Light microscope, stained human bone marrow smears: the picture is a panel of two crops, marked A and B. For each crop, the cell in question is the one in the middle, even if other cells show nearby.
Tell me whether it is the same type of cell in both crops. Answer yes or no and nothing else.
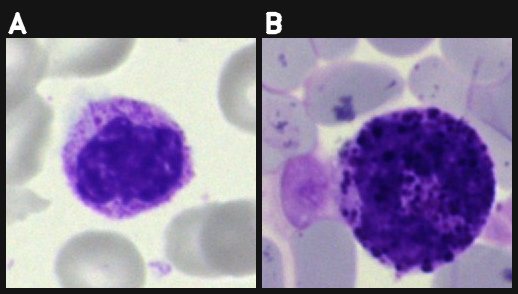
yes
